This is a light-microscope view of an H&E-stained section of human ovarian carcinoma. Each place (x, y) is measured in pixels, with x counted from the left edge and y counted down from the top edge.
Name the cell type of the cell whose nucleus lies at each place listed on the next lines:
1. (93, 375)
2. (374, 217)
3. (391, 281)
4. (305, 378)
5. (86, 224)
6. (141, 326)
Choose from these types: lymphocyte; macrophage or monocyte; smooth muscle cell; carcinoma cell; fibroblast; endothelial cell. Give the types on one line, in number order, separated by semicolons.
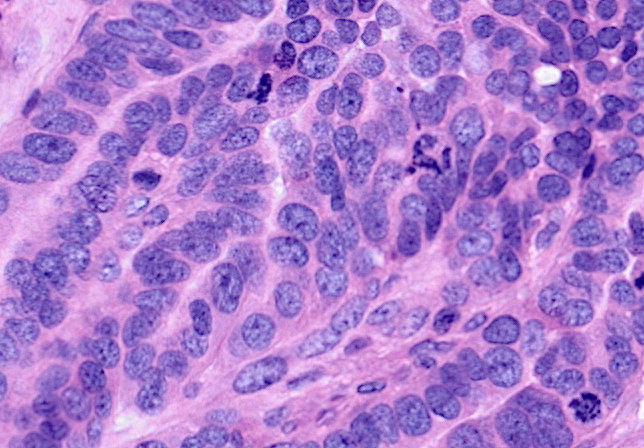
carcinoma cell; carcinoma cell; fibroblast; fibroblast; carcinoma cell; carcinoma cell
